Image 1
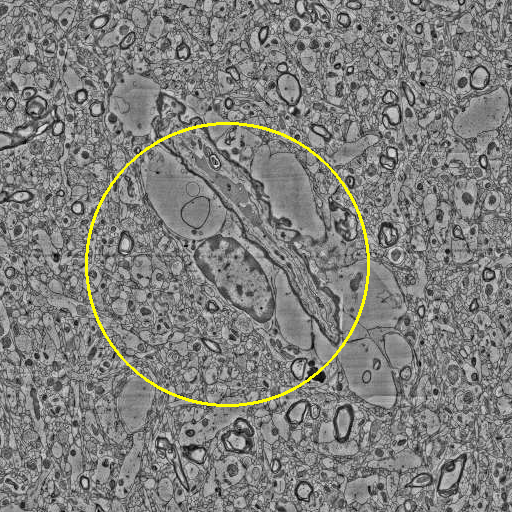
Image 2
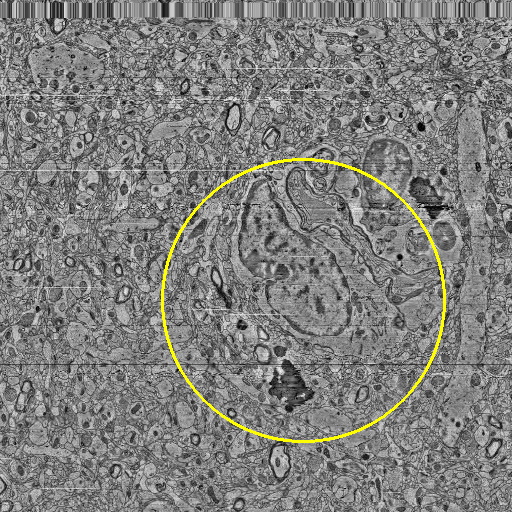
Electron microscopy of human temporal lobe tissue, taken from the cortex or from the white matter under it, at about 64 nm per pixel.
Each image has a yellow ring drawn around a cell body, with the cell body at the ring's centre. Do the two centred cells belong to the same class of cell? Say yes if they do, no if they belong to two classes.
yes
